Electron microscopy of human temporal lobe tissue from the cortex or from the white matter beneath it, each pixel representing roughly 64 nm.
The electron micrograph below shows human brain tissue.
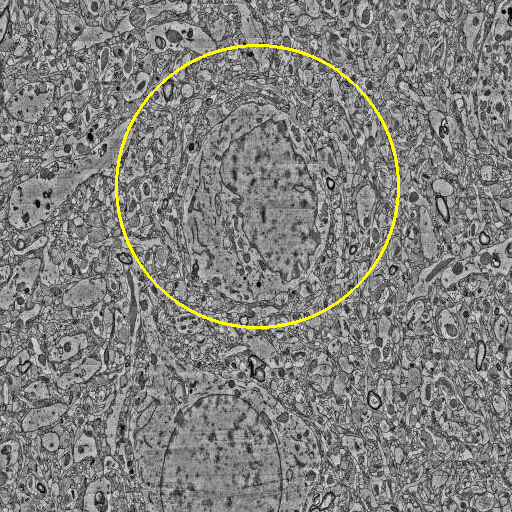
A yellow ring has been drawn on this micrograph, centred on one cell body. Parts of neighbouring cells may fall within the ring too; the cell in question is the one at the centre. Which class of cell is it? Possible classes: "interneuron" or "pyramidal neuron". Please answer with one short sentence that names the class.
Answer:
In the centre of the ring sits an interneuron.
